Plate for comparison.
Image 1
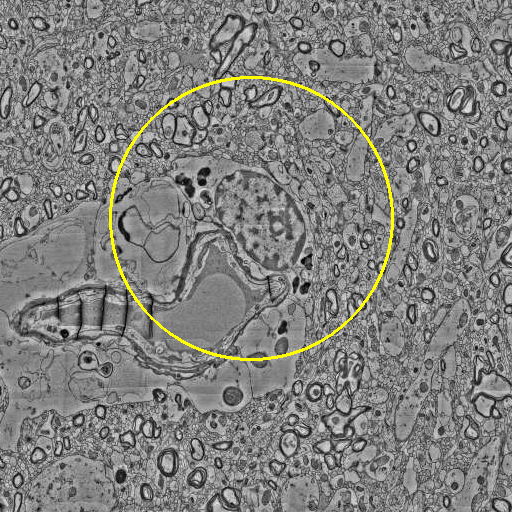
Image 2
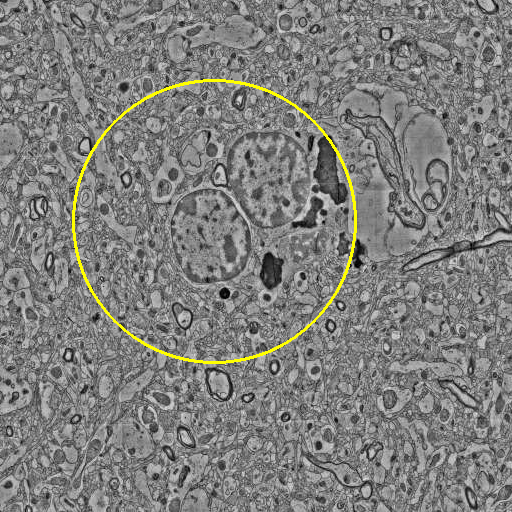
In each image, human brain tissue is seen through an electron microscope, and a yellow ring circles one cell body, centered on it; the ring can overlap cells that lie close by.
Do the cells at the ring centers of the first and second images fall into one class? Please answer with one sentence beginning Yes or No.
Yes, the first and second images show a single class of cell at the ring centers.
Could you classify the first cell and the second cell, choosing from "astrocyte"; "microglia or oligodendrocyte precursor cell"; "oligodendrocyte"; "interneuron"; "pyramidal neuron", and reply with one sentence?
In both pictures the ring is centred on a microglial cell or oligodendrocyte precursor cell.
